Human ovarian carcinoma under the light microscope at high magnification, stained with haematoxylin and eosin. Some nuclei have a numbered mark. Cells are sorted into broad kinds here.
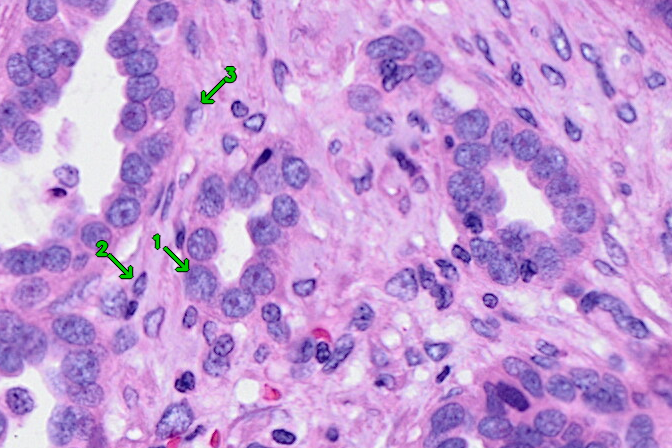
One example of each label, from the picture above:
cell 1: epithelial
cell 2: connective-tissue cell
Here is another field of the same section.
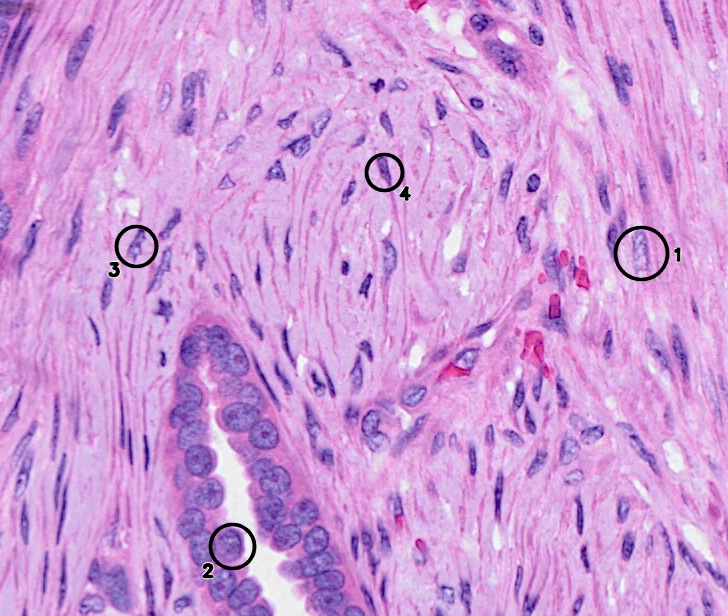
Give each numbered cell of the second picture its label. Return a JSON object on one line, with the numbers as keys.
{"1": "connective-tissue cell", "2": "epithelial", "3": "connective-tissue cell", "4": "connective-tissue cell"}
